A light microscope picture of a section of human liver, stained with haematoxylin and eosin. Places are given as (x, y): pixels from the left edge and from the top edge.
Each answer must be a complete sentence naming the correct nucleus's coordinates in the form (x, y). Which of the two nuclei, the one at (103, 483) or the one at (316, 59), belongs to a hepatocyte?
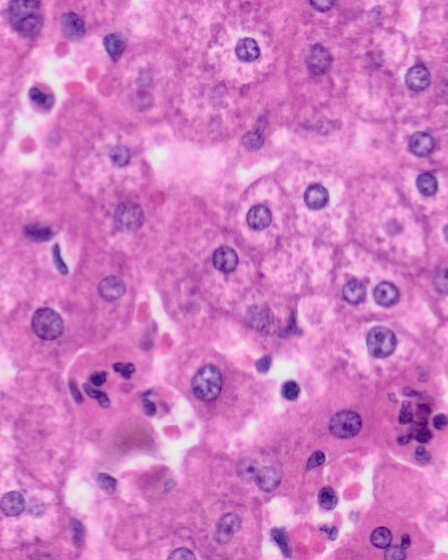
The nucleus that belongs to a hepatocyte sits at (316, 59).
